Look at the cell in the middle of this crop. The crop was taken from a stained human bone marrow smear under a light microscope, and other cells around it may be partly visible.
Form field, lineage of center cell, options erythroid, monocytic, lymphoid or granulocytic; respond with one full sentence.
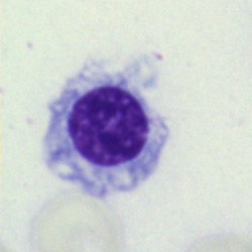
Among the lineages, the erythroid one is that of the central cell.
